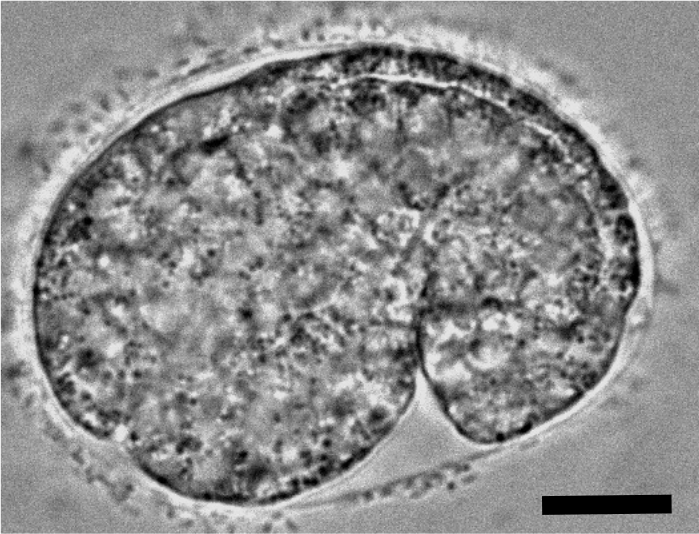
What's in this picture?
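A single nematode embryo is shown inside its oval eggshell, imaged by differential interference contrast, at an early elongation stage. The embryo is a rounded mass of granular cells that fills the eggshell. A notch on the ventral side marks the start of the tail folding beneath the body. The cytoplasm is finely granular, with many small refractile granules. A thin space lies between the embryo and the eggshell in places.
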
